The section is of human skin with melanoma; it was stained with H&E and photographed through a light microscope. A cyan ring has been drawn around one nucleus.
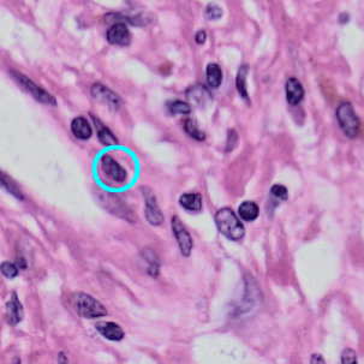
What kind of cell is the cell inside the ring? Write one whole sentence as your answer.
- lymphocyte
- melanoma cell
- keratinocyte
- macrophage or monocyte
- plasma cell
In the context of this tissue, the cell inside the ring is a lymphocyte.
